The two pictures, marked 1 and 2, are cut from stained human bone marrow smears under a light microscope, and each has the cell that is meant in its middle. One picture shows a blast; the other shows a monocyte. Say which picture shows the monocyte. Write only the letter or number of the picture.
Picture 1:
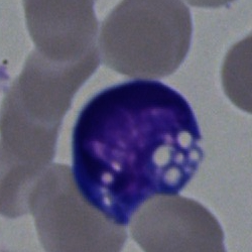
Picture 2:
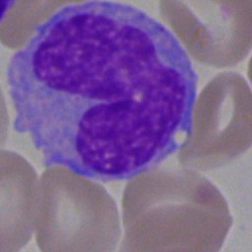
2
